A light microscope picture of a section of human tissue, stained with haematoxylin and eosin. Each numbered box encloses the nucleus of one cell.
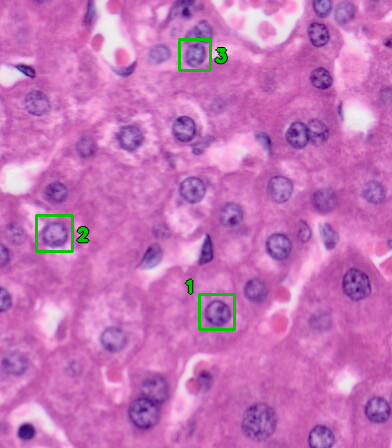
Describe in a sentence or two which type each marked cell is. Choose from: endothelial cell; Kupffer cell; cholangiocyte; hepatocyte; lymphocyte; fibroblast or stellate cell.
Cell 1 is a hepatocyte, cell 2 is a hepatocyte and cell 3 is a cholangiocyte.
